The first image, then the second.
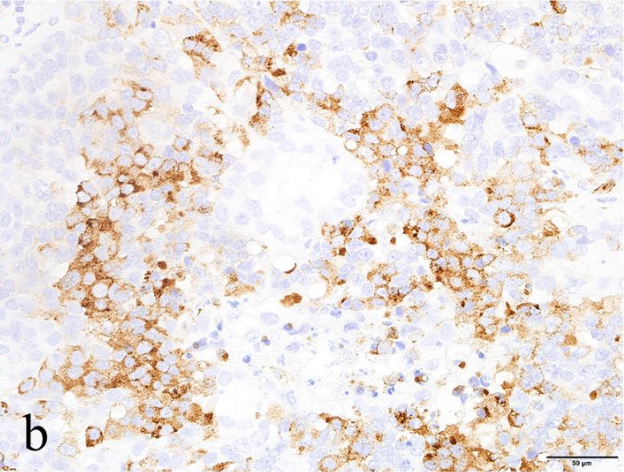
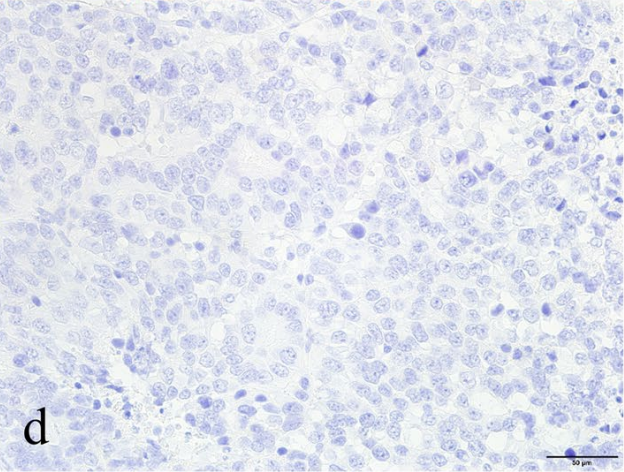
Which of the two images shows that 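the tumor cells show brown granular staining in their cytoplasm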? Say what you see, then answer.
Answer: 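Second image: tumor cells show only blue nuclei and pale cytoplasm, no brown deposit. First image: many tumor cells carry brown granular cytoplasmic staining in patches. So: the first image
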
